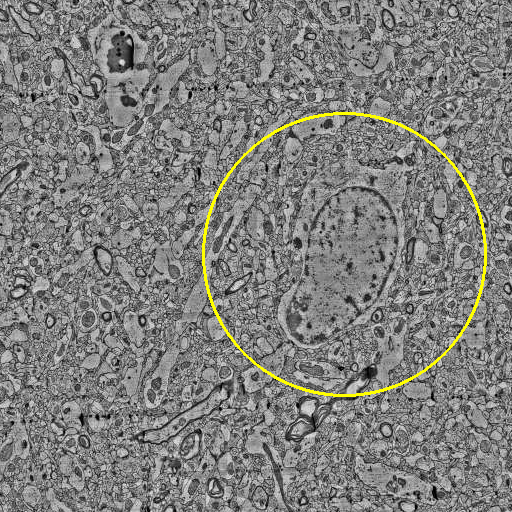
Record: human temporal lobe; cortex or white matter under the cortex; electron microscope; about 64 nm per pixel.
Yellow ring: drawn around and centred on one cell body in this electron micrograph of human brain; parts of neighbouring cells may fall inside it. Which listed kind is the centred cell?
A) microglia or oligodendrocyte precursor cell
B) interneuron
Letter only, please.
A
